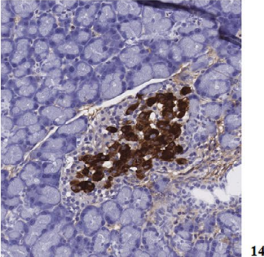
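Pancreatic islet lying within exocrine pancreas, its cells densely packed and many filled with brown cytoplasmic stain, with a rim of paler, unstained cells with blue nuclei at the edge. The surrounding acinar tissue is counterstained blue, its cells arranged in rounded acini, and a thin cleft and small empty lumina lie next to the islet.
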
